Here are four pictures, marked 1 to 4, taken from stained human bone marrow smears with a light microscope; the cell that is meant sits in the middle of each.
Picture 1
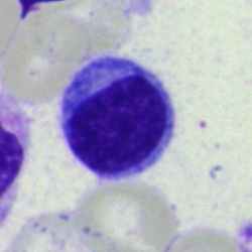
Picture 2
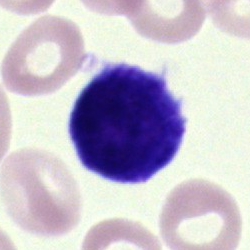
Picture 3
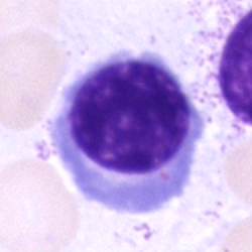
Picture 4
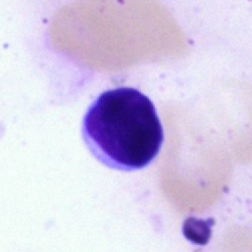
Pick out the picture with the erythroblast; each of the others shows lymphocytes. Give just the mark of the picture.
3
